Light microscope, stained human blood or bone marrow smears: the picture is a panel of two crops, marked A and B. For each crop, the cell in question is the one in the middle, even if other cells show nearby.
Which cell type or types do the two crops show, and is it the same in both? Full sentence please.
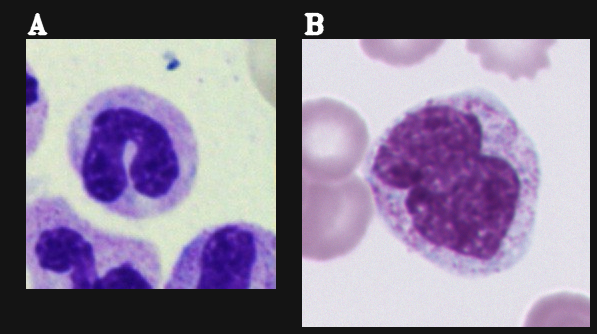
Yes, the crops both have band neutrophils in the middle.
